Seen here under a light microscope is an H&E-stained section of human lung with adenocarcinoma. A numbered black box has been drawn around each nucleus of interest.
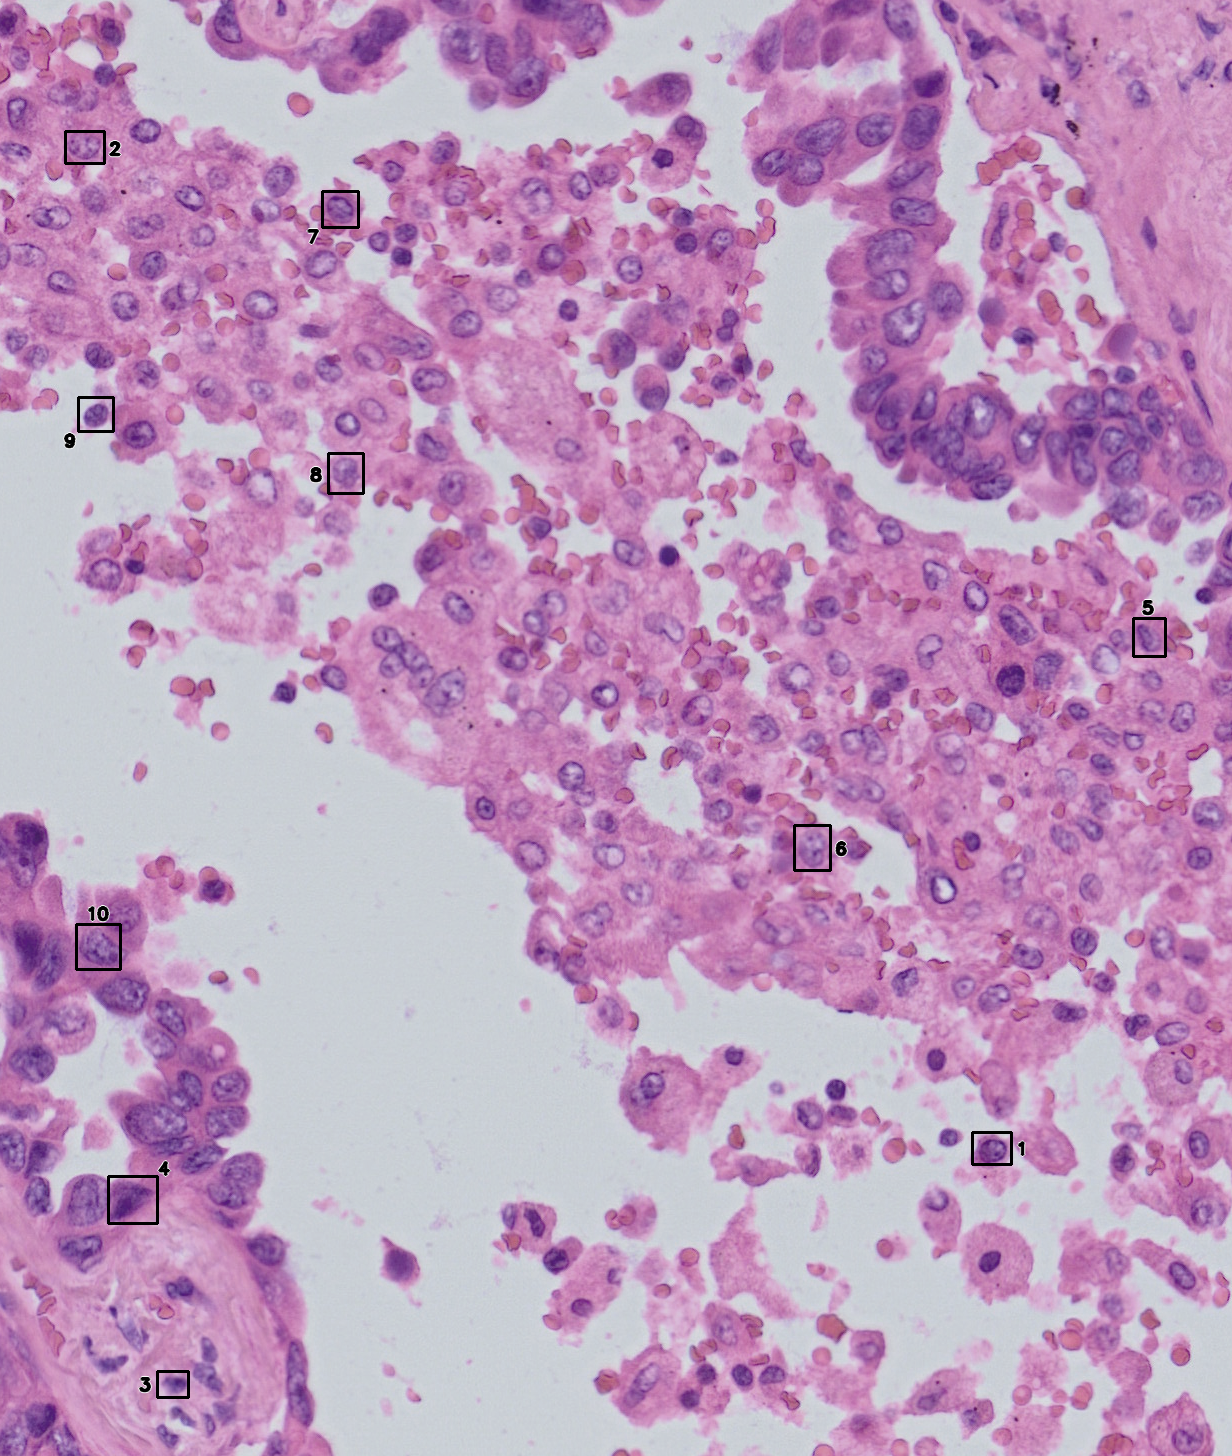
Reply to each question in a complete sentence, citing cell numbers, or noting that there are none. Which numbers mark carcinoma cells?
The cells bearing the numbers 4 and 10 are carcinoma cells.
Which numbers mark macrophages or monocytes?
The cells numbered 1, 2, 5, 6, 7 and 8 are, by type, macrophages or monocytes.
